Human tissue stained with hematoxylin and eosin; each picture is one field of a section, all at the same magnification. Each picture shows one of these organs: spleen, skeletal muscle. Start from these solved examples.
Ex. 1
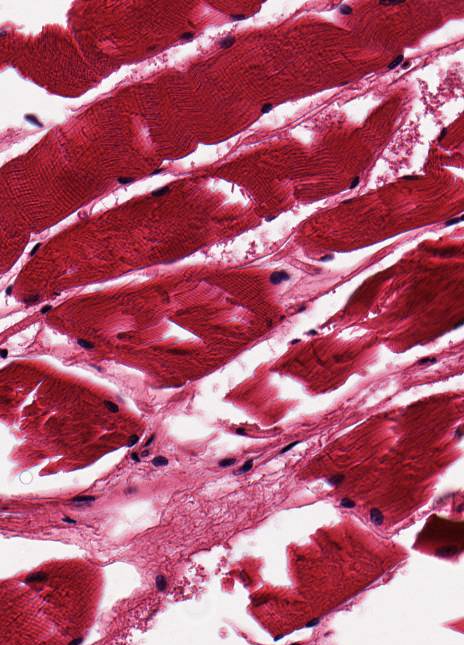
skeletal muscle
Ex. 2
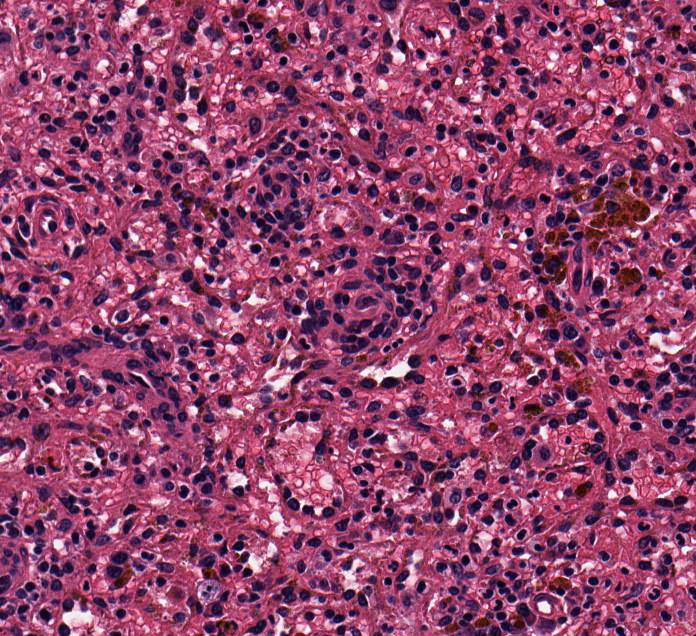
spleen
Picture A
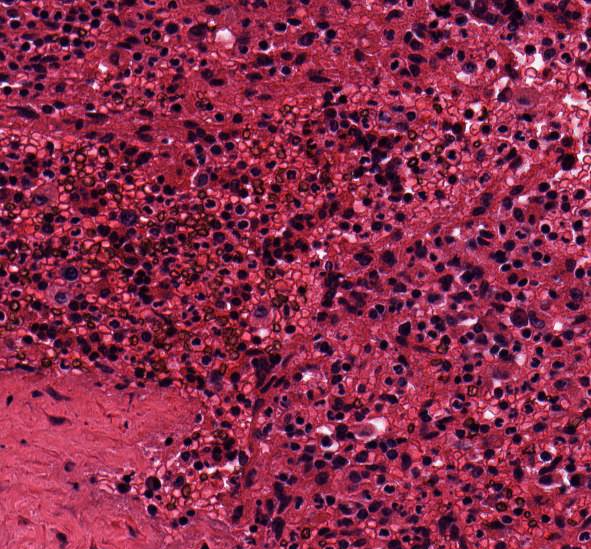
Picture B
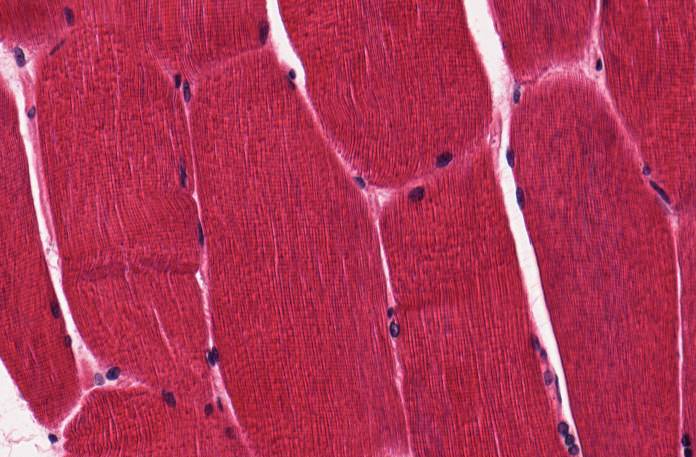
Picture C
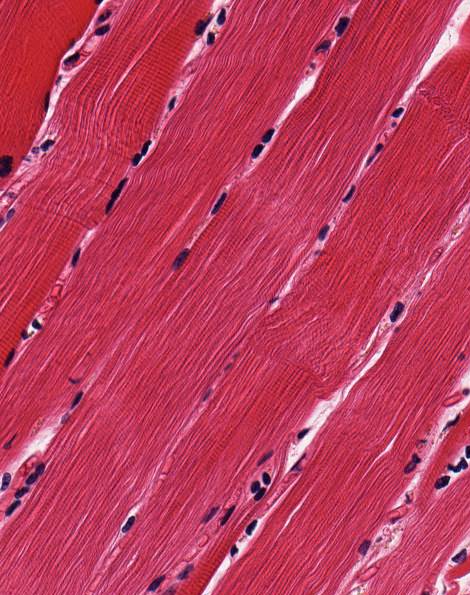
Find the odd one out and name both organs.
Different: A, spleen. Others: skeletal muscle.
